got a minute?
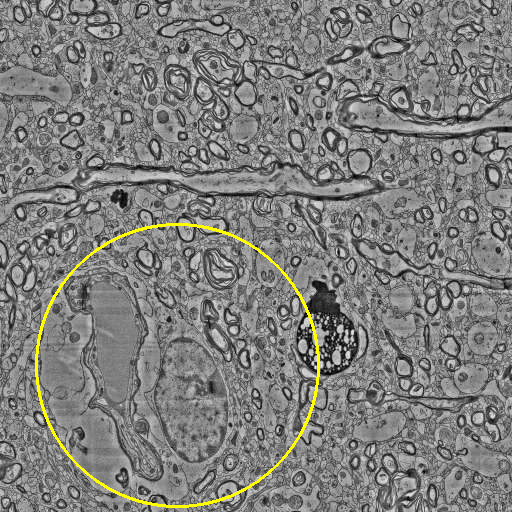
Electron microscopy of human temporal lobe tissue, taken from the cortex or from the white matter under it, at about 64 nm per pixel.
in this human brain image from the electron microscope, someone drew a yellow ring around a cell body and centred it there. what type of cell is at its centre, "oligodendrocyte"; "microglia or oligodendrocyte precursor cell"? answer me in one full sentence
It's a microglial cell or oligodendrocyte precursor cell at the middle of that yellow ring in the shot.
